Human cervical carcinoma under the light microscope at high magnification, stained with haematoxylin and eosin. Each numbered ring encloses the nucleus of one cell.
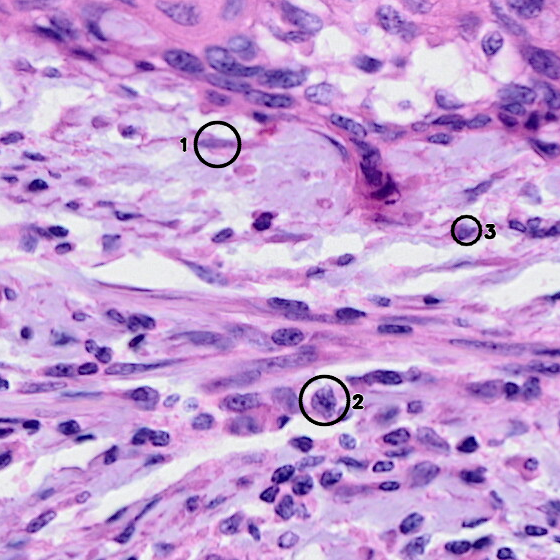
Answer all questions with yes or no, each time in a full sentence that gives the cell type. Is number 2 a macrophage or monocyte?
Yes, the numbered nucleus 2 is that of a macrophage or monocyte.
